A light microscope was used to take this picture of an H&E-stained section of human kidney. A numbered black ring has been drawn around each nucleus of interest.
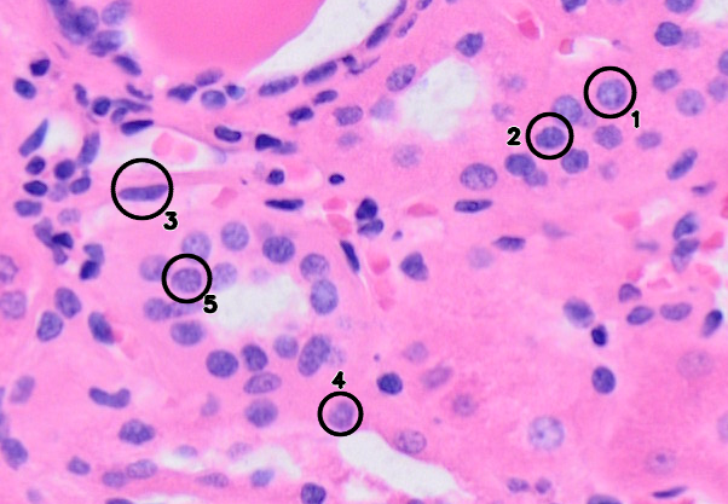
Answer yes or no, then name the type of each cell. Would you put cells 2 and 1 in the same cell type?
Yes, both are loop of Henle or distal tubule cells.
